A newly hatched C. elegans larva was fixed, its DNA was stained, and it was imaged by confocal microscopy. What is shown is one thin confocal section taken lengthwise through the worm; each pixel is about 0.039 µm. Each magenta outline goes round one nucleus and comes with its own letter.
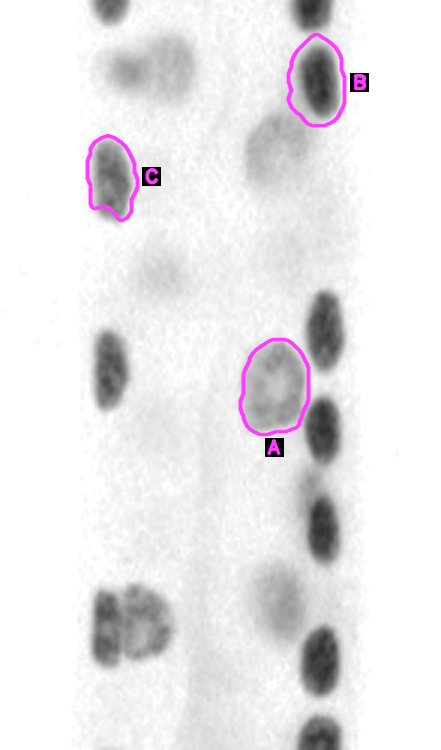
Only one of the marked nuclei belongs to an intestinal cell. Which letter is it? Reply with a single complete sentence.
The nucleus of an intestinal cell is A.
